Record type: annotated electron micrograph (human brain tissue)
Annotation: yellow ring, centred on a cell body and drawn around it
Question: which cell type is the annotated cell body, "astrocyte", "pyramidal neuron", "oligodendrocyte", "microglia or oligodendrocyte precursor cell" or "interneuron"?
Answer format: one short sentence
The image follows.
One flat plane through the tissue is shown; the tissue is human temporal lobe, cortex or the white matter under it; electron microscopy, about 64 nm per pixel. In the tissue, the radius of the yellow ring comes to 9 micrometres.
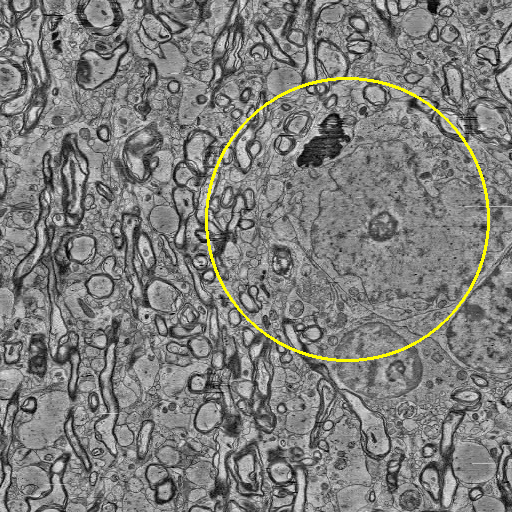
The annotated cell body is that of an interneuron.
